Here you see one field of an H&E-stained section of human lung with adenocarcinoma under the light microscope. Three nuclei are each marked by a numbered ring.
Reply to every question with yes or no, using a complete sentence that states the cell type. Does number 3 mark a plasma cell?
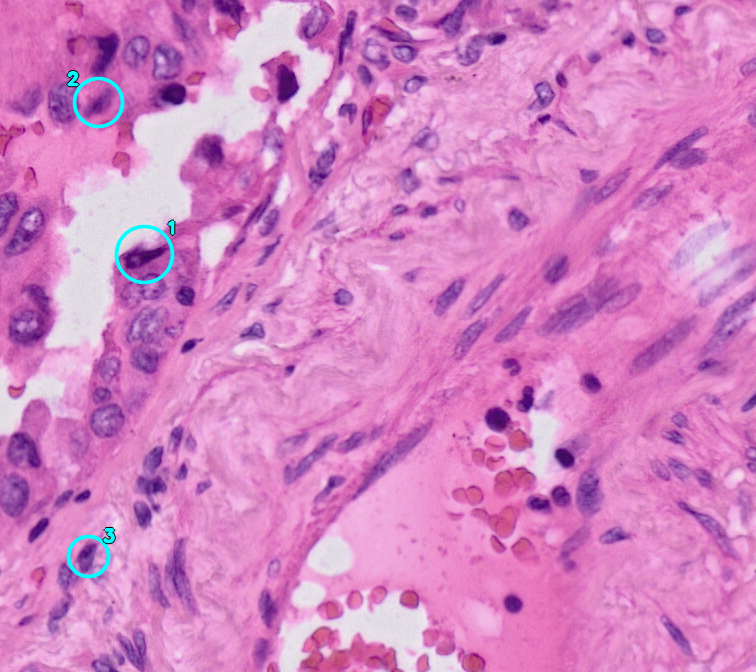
Yes, the nucleus numbered 3 belongs to a plasma cell.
